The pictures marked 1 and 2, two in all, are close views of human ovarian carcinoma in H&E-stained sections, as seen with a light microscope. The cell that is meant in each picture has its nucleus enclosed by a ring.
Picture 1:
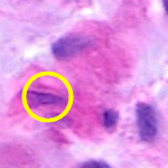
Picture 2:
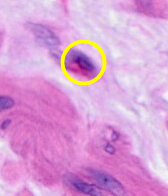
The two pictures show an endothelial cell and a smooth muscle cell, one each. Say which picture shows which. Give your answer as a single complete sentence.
Picture 1 is of a smooth muscle cell, and picture 2 is of an endothelial cell.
